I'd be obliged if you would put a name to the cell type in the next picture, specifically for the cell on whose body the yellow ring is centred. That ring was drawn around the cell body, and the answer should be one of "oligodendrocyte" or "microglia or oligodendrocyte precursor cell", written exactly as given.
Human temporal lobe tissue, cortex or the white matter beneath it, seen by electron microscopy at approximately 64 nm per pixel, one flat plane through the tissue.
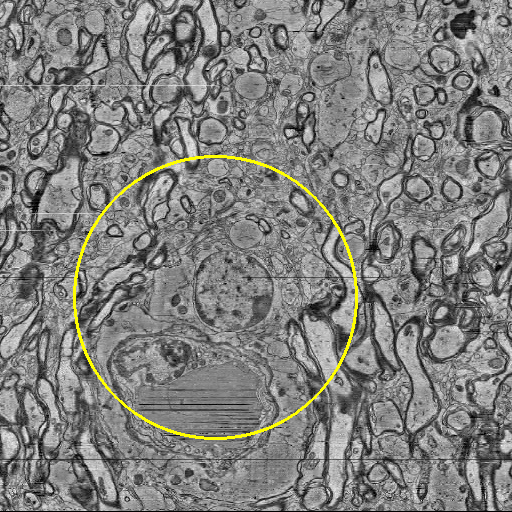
microglia or oligodendrocyte precursor cell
